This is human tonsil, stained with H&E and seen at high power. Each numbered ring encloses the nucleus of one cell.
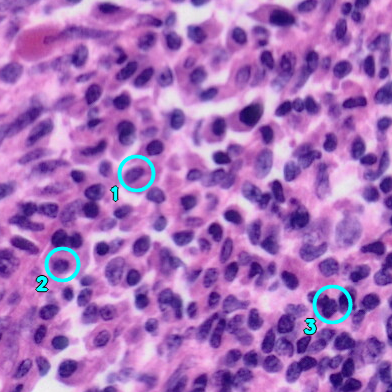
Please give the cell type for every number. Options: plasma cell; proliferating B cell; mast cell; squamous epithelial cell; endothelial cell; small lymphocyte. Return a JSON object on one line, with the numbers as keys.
{"1": "plasma cell", "2": "plasma cell", "3": "small lymphocyte"}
